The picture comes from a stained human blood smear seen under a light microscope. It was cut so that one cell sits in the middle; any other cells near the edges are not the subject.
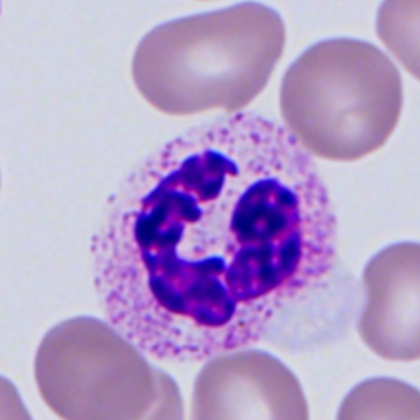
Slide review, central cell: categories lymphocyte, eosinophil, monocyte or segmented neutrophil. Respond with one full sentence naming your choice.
The cell in the middle of this crop is a segmented neutrophil.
